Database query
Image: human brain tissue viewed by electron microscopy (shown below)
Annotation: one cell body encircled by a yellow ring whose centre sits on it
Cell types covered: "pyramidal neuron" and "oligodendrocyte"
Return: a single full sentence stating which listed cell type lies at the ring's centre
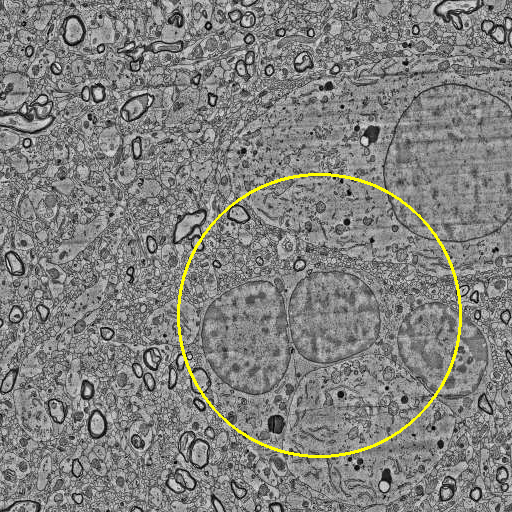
In the image, the cell lying at the ring's centre is an oligodendrocyte.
